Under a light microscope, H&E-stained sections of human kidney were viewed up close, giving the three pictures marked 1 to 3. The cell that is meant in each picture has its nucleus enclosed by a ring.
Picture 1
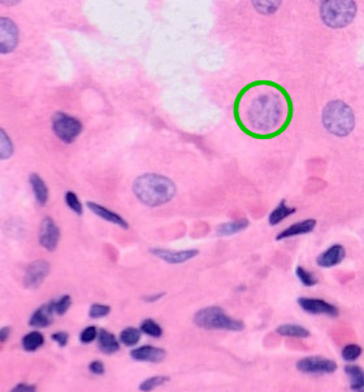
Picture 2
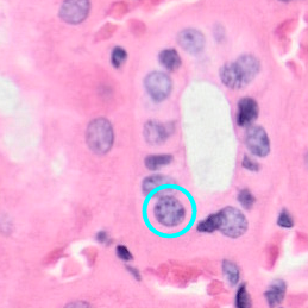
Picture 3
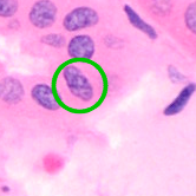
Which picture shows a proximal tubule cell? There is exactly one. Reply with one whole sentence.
Picture 1 is the one that shows the proximal tubule cell.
